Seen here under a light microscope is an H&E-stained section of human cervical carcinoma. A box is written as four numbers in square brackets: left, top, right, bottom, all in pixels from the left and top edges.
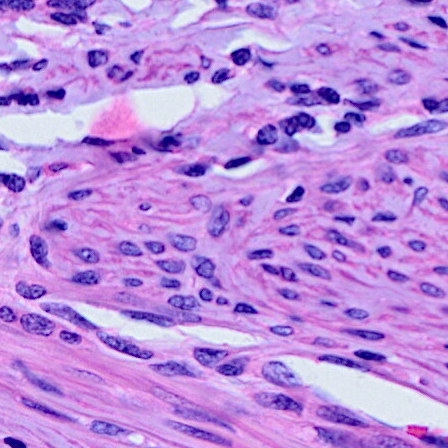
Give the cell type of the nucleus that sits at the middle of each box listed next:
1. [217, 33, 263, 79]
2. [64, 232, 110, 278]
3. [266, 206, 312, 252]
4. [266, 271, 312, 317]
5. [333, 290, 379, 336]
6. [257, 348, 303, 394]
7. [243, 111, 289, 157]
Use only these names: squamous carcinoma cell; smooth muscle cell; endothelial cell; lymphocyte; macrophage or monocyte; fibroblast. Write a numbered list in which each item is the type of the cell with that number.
1. lymphocyte
2. smooth muscle cell
3. smooth muscle cell
4. smooth muscle cell
5. smooth muscle cell
6. endothelial cell
7. lymphocyte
